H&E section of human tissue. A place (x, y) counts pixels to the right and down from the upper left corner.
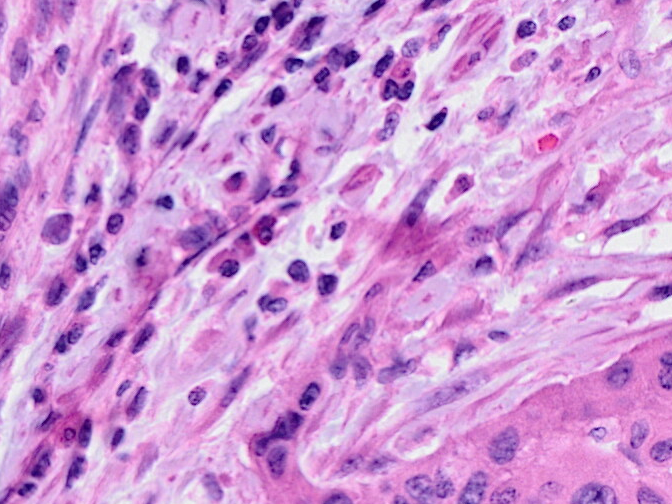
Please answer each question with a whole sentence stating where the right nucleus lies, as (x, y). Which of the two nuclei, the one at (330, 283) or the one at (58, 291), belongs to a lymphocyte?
Identify the nucleus at (330, 283) as the one belonging to a lymphocyte.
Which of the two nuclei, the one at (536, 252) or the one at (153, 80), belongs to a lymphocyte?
Among the two nuclei, the one found at (153, 80) belongs to a lymphocyte.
